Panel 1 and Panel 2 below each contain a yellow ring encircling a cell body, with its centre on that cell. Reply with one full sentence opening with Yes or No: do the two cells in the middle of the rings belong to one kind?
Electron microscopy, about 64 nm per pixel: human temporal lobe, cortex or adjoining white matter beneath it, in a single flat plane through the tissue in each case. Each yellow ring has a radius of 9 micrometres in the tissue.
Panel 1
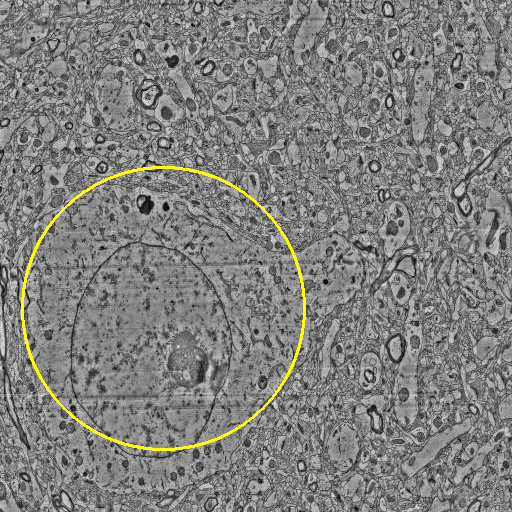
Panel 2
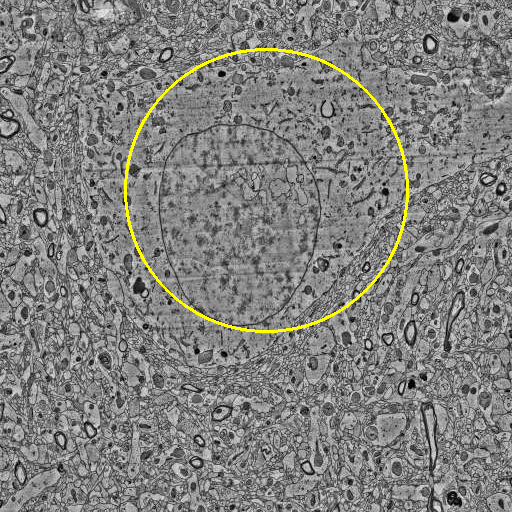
Yes, the cells at the middle of the Panel 1 ring and the Panel 2 ring are of one kind.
